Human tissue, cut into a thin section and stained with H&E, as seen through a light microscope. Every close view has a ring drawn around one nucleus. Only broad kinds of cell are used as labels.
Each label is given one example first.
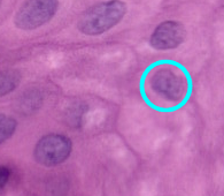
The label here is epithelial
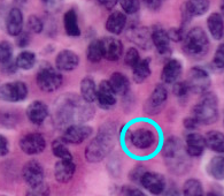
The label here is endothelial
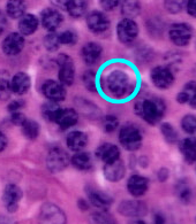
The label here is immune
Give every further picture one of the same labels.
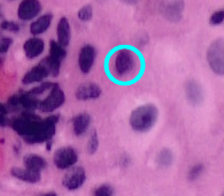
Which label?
epithelial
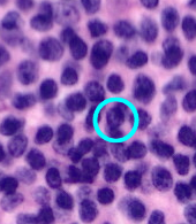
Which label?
immune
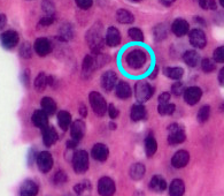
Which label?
immune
